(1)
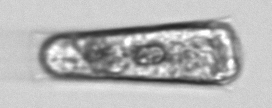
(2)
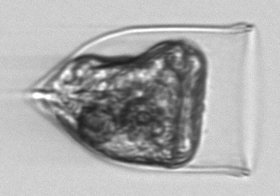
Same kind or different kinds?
Same: tintinnids.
